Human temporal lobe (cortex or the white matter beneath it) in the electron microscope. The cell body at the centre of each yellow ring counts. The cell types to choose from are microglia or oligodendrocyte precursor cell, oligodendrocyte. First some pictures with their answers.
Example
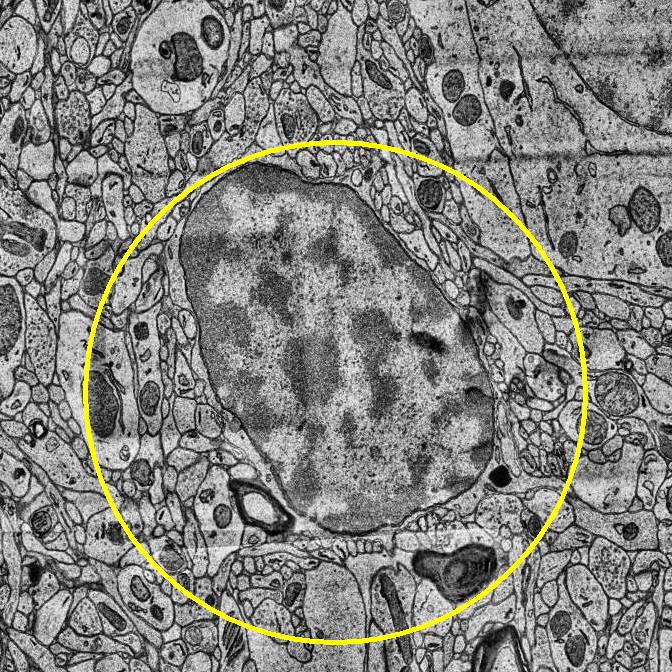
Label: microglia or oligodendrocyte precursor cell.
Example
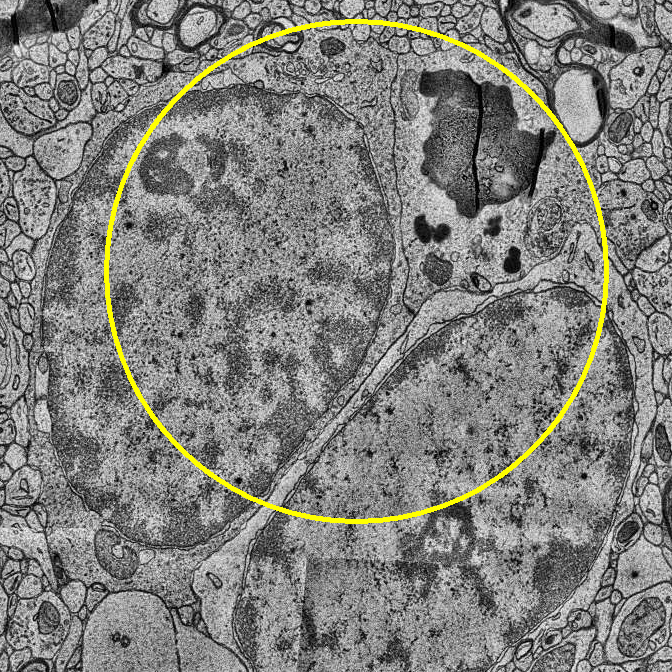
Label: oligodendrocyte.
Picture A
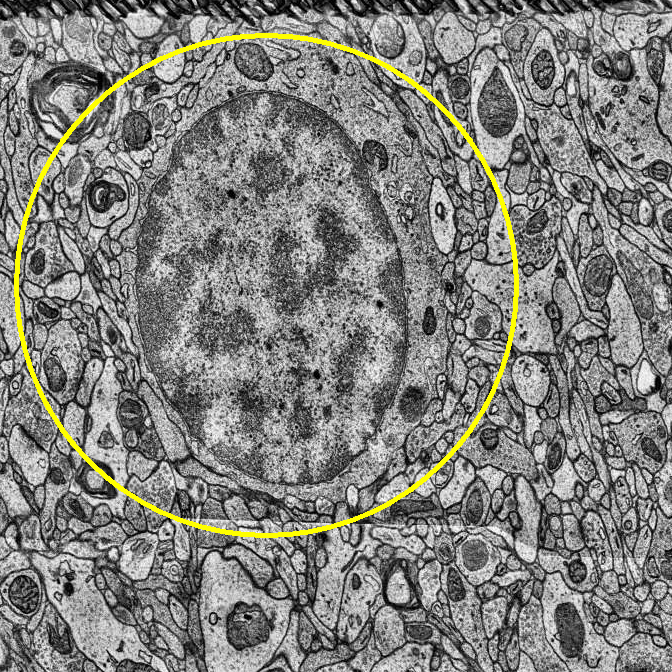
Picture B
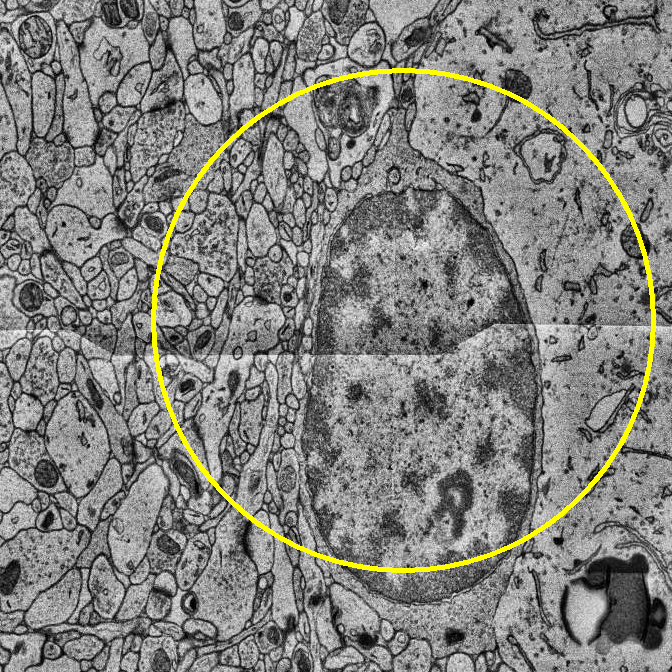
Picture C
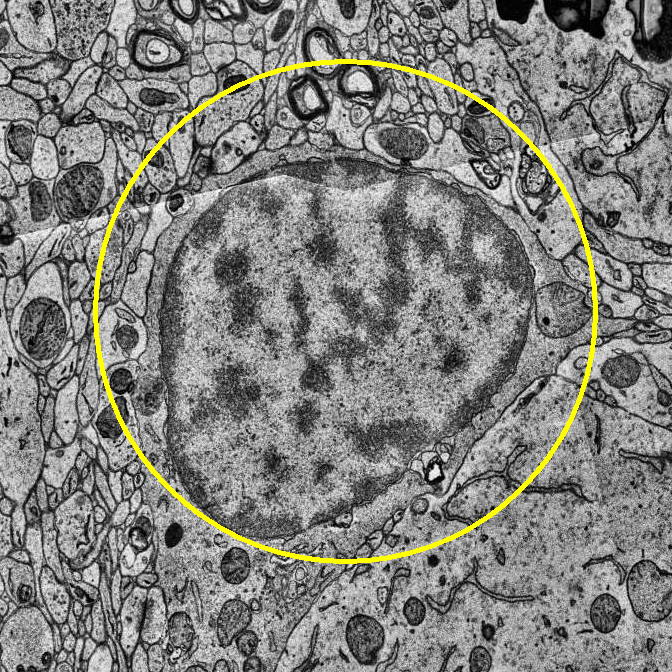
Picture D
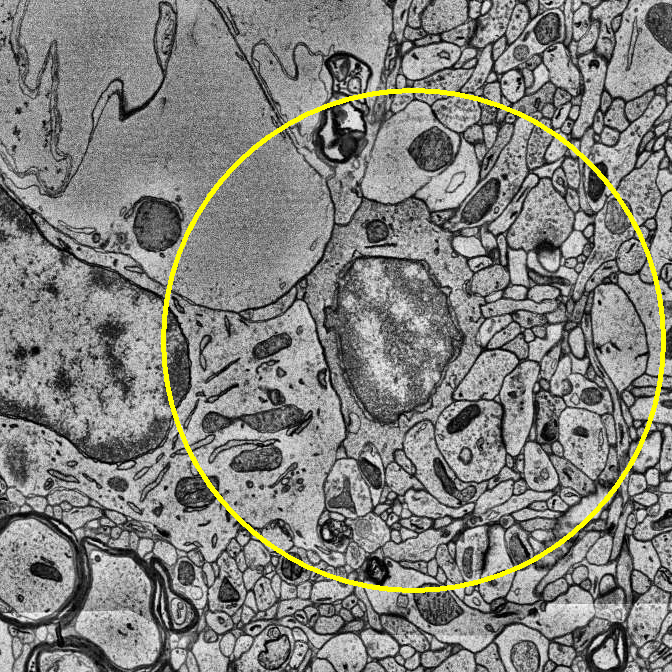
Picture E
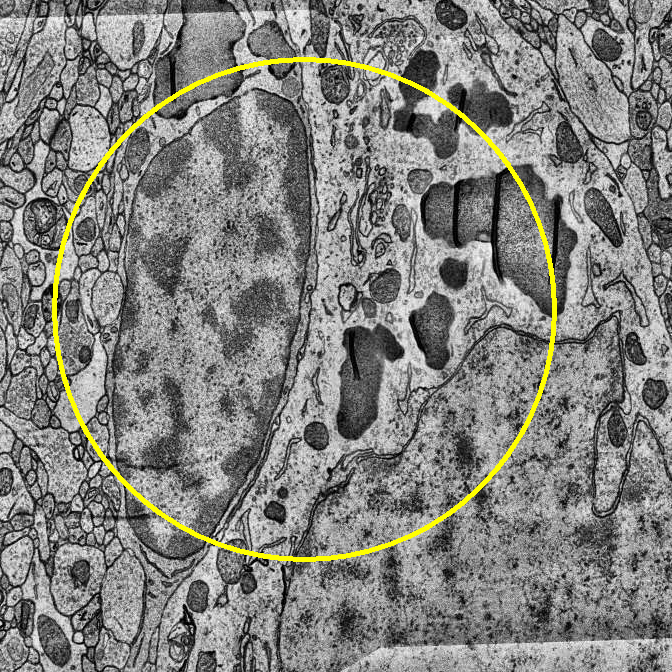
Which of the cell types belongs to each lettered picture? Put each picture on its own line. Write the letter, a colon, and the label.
A: oligodendrocyte.
B: oligodendrocyte.
C: oligodendrocyte.
D: oligodendrocyte.
E: microglia or oligodendrocyte precursor cell.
